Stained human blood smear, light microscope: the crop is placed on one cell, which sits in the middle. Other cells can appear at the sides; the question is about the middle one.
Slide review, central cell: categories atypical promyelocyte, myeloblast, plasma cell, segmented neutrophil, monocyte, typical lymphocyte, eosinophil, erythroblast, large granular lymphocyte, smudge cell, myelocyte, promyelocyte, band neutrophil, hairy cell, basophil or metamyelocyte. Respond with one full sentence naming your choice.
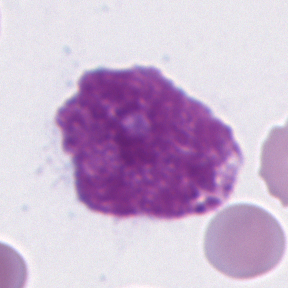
The cell occupying the middle of the crop is a smudge cell.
